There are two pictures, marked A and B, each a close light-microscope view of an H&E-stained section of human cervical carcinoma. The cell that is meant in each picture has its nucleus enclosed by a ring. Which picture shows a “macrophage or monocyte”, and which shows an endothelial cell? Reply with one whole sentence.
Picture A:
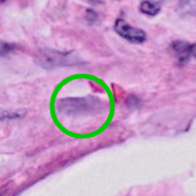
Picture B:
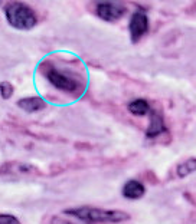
Picture B shows a “macrophage or monocyte”, while picture A shows an endothelial cell.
